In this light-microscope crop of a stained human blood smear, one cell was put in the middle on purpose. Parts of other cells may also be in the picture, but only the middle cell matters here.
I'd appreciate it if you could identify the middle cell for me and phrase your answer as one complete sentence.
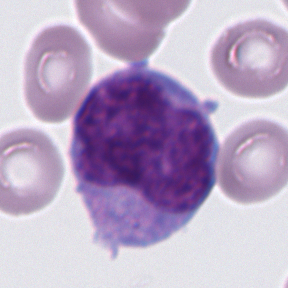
The cell of interest, in the center, is an atypical promyelocyte.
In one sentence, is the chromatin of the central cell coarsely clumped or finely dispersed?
The chromatin pattern here is coarse and clumped.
